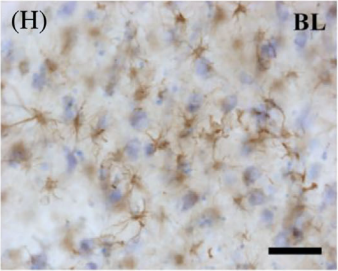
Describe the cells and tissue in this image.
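Many star-shaped cells stained brown are spread fairly evenly across this brain tissue, each with a small central body and numerous fine processes radiating in all directions. Between them lie round and oval blue-stained nuclei of unstained cells, in a pale background. The stellate form and the dense, widespread array of these brown cells mark them as astrocytes, here numerous throughout the field.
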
